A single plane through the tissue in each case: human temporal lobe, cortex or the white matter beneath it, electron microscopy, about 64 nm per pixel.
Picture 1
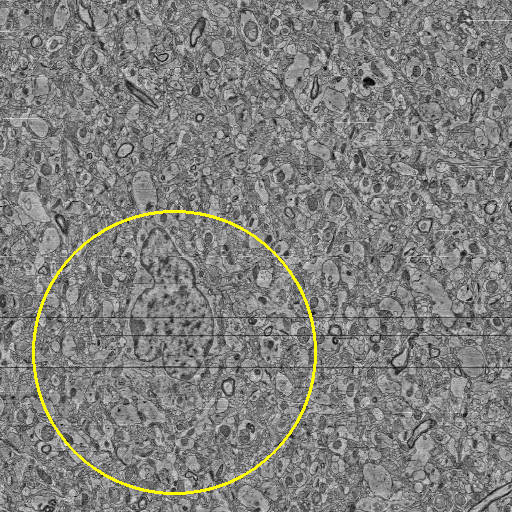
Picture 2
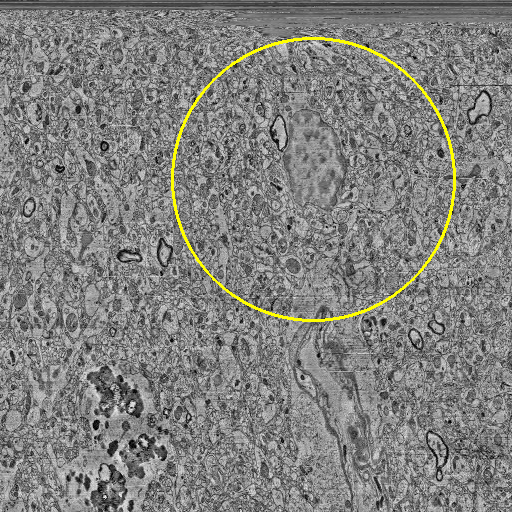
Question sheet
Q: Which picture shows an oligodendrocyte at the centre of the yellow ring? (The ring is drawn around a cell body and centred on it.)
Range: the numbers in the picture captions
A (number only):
2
